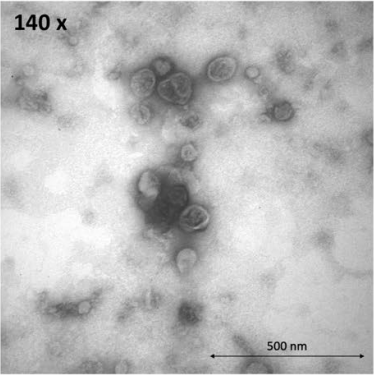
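The vesicles are round to cup-shaped, each with a darker rim that outlines a paler interior. They vary in size and lie mostly in a loose cluster near the centre. Finer, less distinct particles and some granular background material are scattered around them.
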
